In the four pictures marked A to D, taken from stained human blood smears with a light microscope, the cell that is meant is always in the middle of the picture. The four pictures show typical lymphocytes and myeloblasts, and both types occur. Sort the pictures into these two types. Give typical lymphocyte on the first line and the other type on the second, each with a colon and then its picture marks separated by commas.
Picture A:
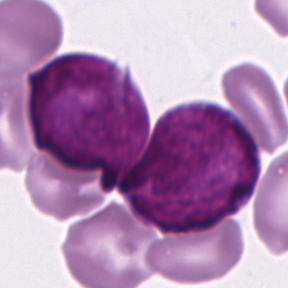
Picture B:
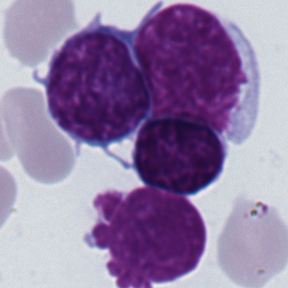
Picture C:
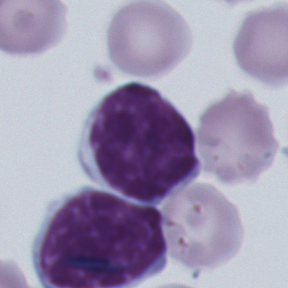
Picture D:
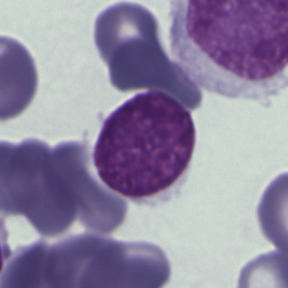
typical lymphocyte: C
myeloblast: A, B, D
